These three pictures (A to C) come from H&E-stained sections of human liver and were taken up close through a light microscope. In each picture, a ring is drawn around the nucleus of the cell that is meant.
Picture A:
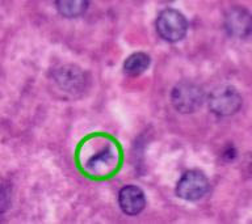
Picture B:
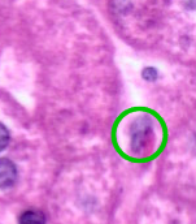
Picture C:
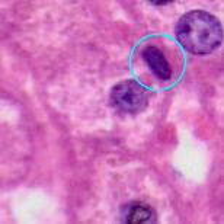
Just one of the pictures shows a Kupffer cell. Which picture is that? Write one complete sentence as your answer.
Picture B shows the Kupffer cell.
